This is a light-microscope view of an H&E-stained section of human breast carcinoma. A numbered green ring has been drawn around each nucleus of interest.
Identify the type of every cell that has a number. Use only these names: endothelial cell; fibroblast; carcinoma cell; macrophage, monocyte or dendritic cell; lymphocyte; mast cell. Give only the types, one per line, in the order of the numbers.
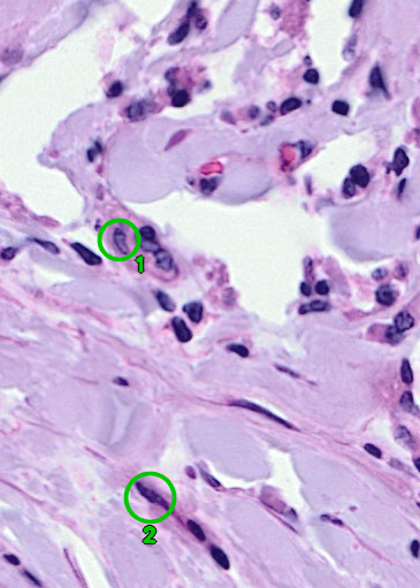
endothelial cell
fibroblast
